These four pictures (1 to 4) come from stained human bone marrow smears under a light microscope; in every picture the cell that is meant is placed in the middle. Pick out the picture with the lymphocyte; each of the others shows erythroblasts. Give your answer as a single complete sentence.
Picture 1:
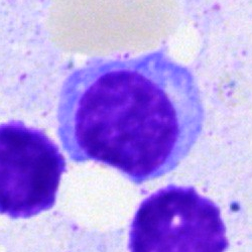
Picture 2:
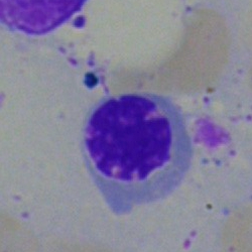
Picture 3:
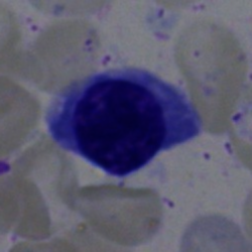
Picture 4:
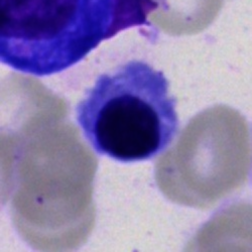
It is picture 1 that shows the lymphocyte.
